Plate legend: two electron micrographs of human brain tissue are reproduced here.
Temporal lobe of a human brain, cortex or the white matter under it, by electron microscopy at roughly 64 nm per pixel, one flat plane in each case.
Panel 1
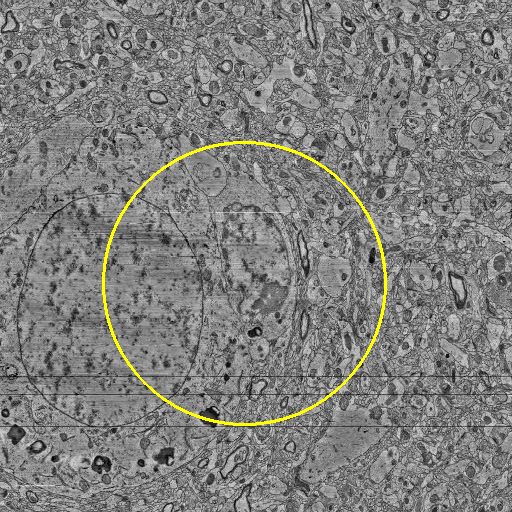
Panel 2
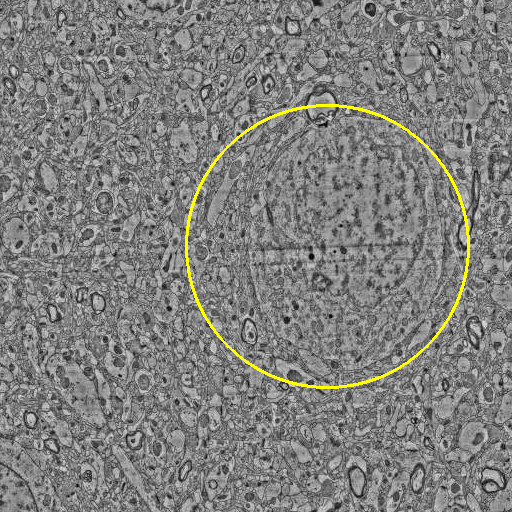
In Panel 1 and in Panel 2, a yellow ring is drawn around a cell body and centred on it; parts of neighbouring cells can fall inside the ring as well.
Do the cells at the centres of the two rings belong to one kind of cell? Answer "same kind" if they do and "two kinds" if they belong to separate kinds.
same kind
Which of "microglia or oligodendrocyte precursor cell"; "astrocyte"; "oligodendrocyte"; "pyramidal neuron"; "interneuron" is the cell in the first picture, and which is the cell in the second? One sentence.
In the first picture and in the second, the ring is centred on an interneuron.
